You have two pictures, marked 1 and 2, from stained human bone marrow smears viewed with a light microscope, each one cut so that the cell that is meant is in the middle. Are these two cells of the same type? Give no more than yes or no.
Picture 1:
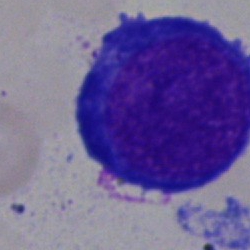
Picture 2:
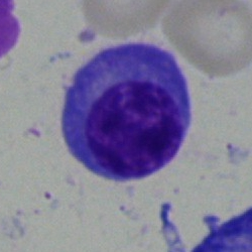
no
